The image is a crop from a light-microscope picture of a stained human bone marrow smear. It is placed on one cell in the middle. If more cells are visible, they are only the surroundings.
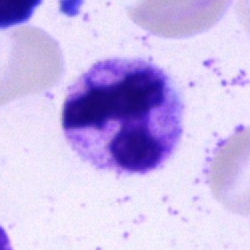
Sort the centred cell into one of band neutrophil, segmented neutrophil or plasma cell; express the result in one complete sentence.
Occupying the centre of the crop is a segmented neutrophil.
